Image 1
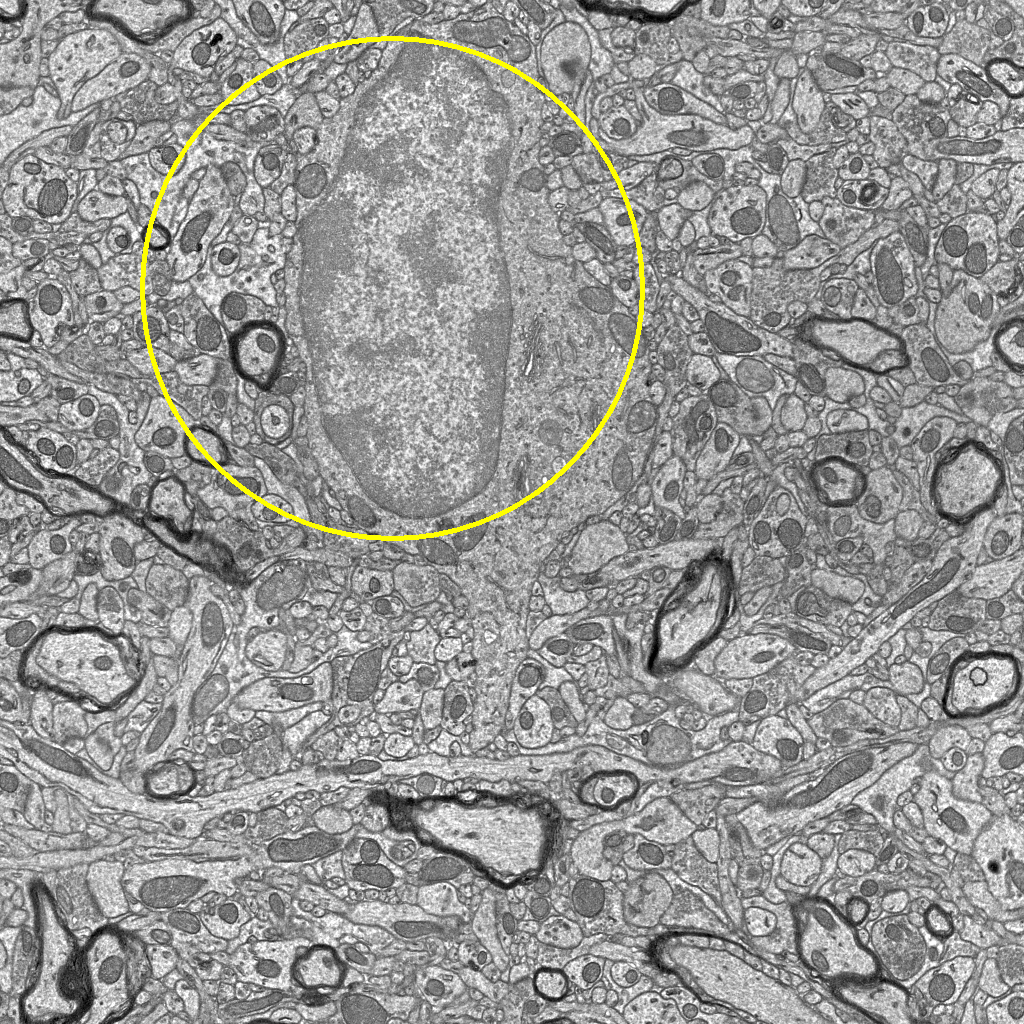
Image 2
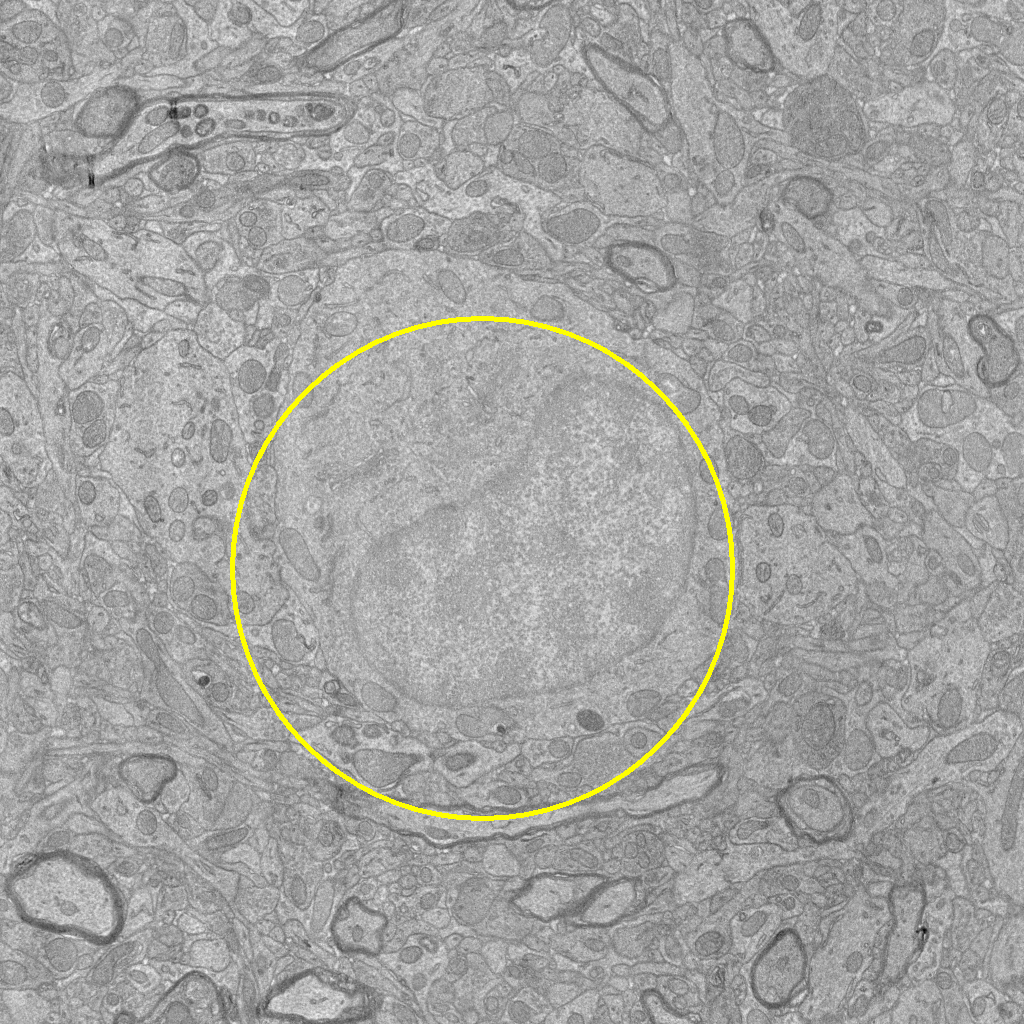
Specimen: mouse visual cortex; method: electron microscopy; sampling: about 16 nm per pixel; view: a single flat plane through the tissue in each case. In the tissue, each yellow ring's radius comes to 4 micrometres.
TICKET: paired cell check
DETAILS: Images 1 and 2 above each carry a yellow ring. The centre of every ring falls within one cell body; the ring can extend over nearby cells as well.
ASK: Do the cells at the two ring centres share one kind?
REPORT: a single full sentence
Yes, the cells at the ring centres of Images 1 and 2 belong to a single kind.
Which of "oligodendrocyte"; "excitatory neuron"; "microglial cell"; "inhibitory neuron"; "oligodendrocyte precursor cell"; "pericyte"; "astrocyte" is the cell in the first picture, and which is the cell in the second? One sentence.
The ring centre holds an oligodendrocyte in each of the two pictures.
